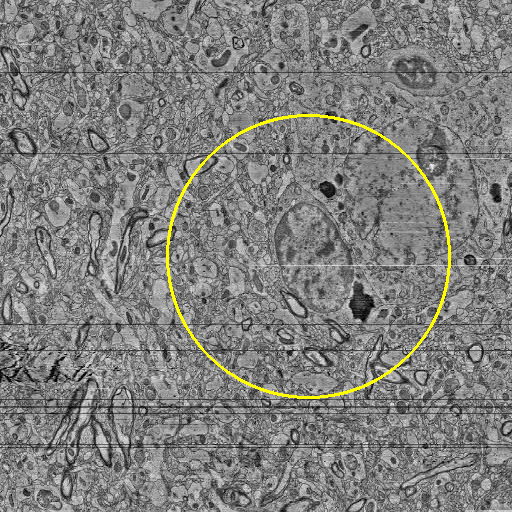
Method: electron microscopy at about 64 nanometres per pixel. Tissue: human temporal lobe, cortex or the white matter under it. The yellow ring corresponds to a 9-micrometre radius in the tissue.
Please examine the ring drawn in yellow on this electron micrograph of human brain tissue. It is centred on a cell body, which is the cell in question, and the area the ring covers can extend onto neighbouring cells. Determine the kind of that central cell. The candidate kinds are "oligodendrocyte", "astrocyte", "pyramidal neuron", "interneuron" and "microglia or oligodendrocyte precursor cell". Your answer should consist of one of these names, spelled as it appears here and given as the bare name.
oligodendrocyte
